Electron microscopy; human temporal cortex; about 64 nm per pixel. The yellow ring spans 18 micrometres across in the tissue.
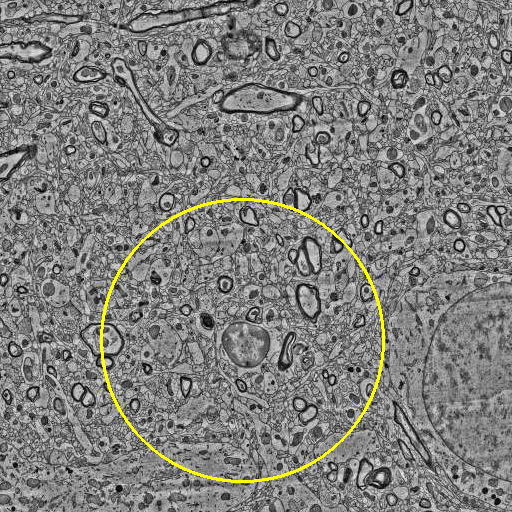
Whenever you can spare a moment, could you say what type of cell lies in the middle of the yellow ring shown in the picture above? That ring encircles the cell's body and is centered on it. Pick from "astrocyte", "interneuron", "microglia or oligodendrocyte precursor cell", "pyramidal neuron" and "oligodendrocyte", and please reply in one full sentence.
The cell whose body sits at the middle of the yellow ring is a microglial cell or oligodendrocyte precursor cell.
